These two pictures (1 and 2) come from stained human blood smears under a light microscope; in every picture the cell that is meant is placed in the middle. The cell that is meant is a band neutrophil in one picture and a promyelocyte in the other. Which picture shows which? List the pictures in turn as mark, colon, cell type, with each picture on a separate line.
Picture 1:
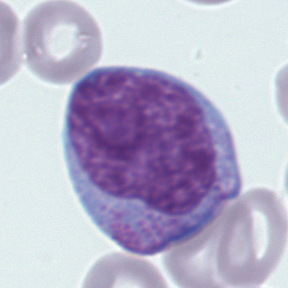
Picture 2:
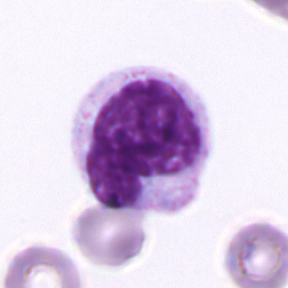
1: promyelocyte
2: band neutrophil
